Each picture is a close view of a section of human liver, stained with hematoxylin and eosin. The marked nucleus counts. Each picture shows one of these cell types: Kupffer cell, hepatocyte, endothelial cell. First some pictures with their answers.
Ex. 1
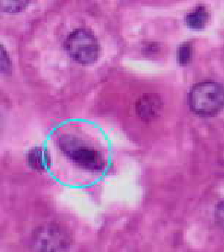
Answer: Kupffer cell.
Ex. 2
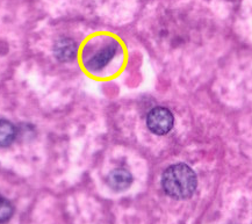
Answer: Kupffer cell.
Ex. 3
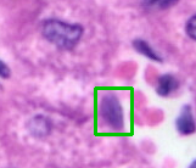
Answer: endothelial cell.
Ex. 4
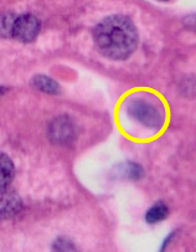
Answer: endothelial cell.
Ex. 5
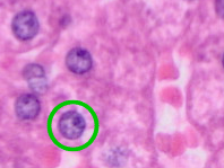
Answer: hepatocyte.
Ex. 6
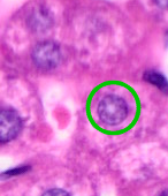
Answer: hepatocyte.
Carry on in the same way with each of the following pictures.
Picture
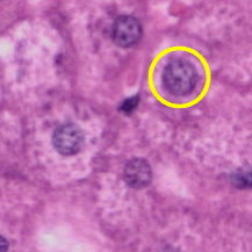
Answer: hepatocyte.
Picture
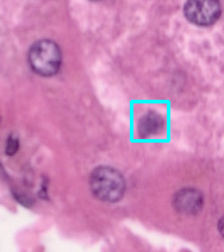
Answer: endothelial cell.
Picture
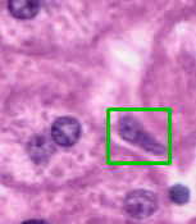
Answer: Kupffer cell.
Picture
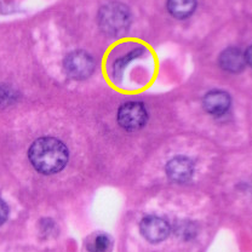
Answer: endothelial cell.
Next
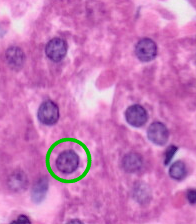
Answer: hepatocyte.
